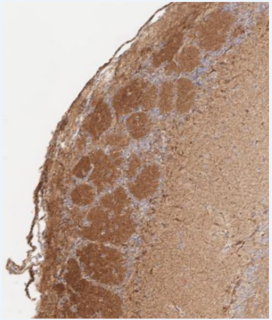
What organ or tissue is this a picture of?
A: olfactory bulb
